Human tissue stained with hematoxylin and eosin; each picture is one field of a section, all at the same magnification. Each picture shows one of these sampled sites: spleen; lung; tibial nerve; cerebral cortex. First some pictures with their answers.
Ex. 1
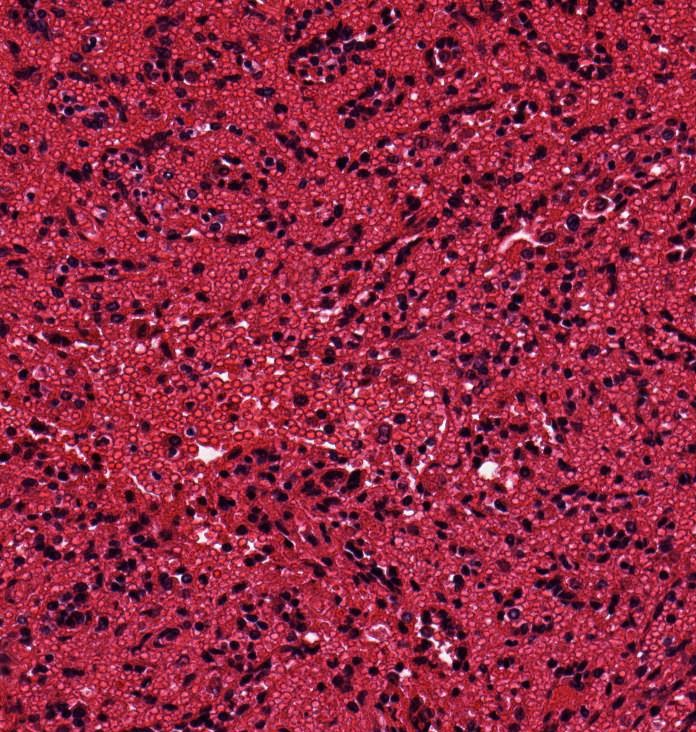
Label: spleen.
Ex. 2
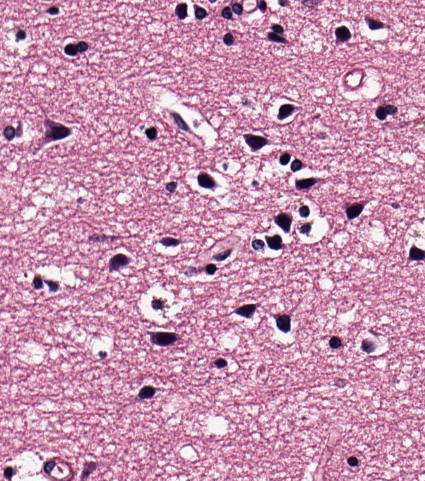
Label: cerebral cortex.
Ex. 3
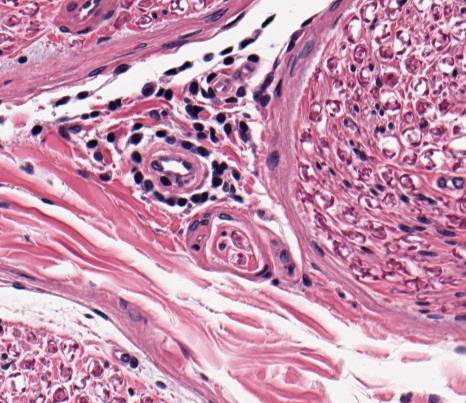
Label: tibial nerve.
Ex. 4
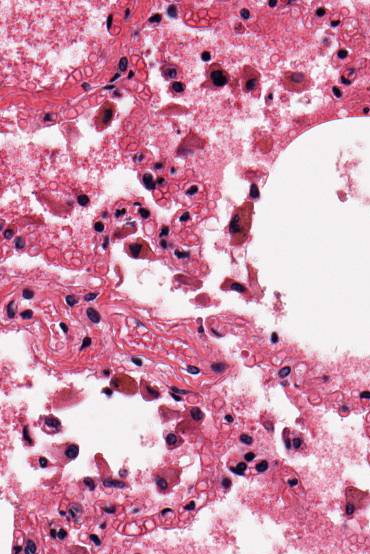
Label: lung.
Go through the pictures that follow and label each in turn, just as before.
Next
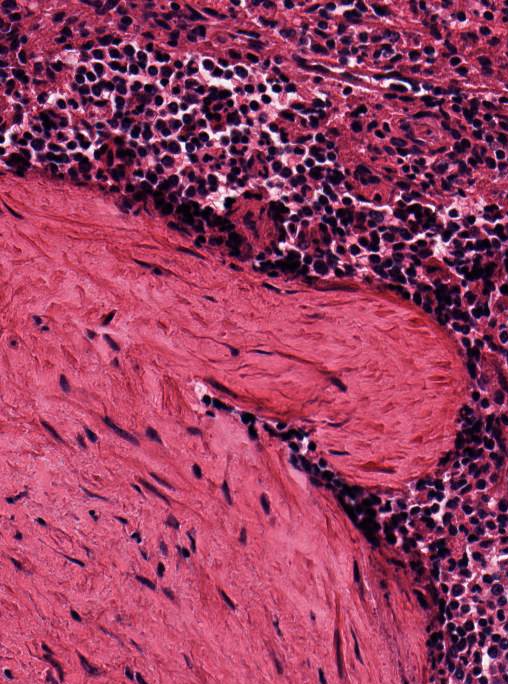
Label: spleen.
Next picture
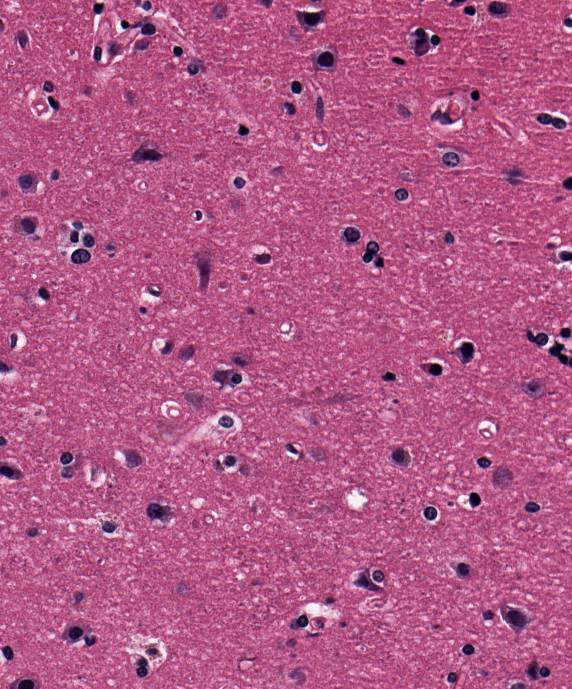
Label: cerebral cortex.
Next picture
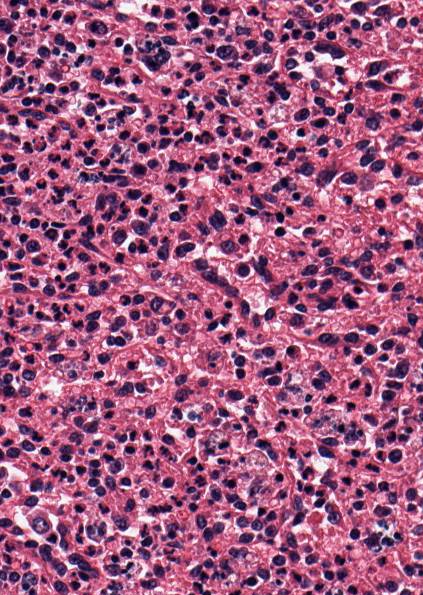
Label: spleen.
